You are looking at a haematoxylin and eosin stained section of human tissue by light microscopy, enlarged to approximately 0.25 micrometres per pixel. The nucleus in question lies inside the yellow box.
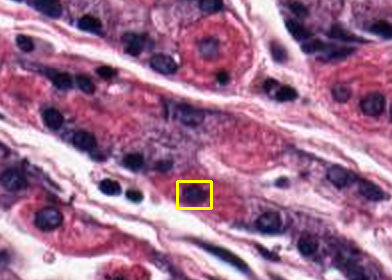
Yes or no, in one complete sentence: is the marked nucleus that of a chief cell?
No, the marked nucleus belongs to a parietal cell; it does not belong to a chief cell.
